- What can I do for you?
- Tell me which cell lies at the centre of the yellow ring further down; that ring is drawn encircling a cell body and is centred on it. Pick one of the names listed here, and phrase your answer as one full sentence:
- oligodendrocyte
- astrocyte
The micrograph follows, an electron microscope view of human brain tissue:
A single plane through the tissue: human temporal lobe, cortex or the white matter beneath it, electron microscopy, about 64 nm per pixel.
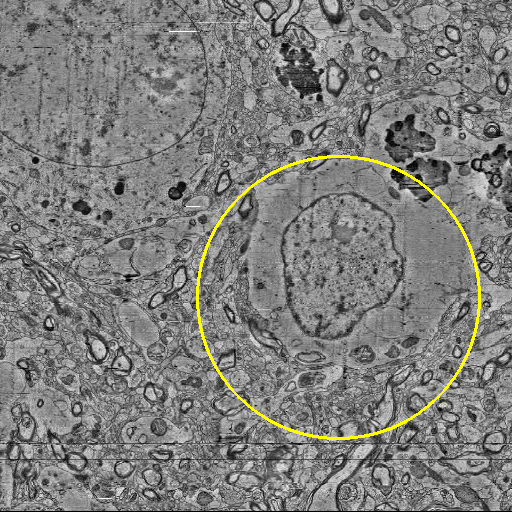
The cell whose body lies at the centre of the yellow ring is an astrocyte.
